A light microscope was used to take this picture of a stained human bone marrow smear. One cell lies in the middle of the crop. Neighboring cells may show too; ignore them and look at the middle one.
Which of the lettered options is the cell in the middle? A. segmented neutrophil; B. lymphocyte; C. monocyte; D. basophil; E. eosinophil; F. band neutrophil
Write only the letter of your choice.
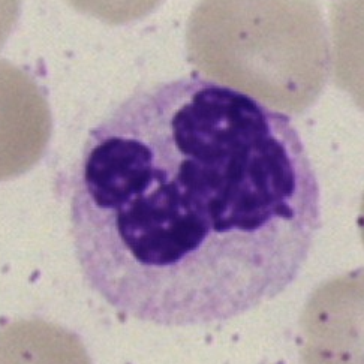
A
